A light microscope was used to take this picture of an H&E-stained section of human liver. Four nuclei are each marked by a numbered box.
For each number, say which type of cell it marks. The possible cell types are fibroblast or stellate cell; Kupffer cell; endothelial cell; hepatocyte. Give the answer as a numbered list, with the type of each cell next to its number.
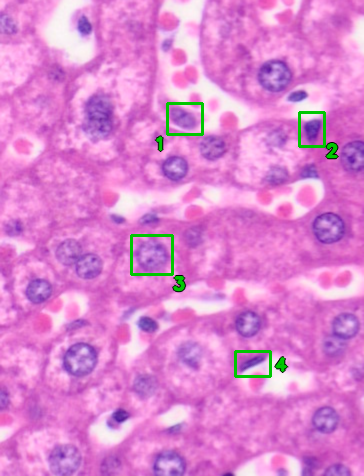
1. Kupffer cell
2. fibroblast or stellate cell
3. hepatocyte
4. endothelial cell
